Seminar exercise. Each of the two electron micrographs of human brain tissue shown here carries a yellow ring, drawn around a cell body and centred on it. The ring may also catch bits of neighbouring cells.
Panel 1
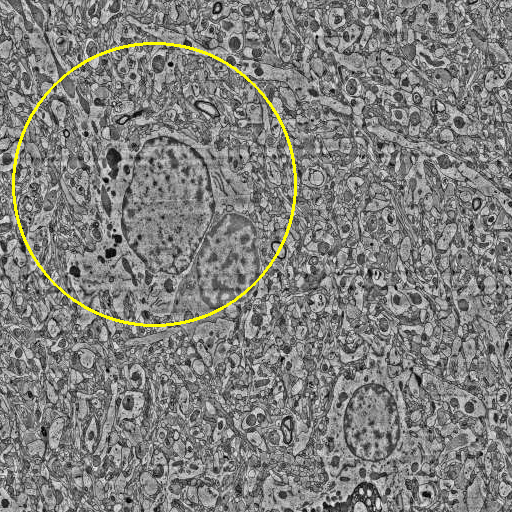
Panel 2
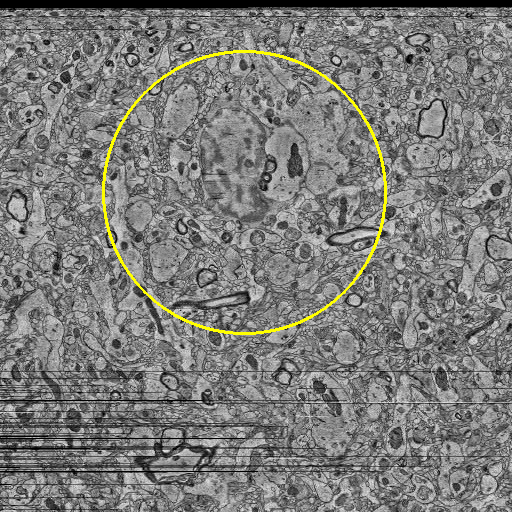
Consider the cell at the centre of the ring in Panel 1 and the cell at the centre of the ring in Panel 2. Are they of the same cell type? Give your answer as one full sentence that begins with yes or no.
No, the two cells are of two types.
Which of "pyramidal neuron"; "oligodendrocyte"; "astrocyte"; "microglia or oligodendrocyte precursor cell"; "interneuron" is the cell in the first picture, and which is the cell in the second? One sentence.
The two differ: the first cell is an astrocyte and the second is an oligodendrocyte.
